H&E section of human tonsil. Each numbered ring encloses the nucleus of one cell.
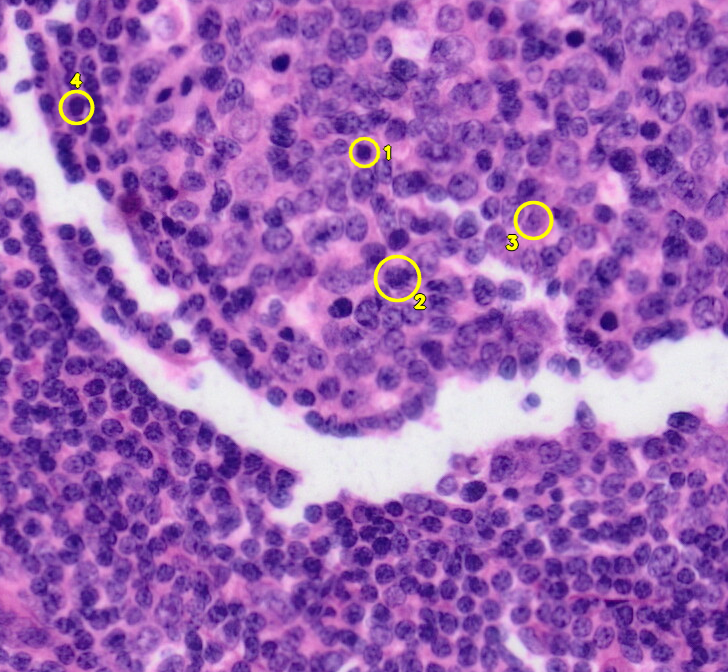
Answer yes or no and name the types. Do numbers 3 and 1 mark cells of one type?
Yes, cells 3 and 1 are both classed as proliferating B cells.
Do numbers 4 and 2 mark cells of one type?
No, cell 2 is a proliferating B cell, whereas cell 4 is a small lymphocyte.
